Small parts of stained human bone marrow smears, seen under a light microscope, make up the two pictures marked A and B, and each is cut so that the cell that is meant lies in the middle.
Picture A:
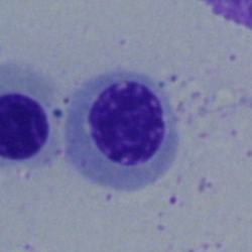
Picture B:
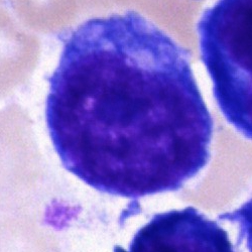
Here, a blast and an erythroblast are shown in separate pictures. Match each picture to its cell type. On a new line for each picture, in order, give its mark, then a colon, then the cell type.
A: erythroblast
B: blast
